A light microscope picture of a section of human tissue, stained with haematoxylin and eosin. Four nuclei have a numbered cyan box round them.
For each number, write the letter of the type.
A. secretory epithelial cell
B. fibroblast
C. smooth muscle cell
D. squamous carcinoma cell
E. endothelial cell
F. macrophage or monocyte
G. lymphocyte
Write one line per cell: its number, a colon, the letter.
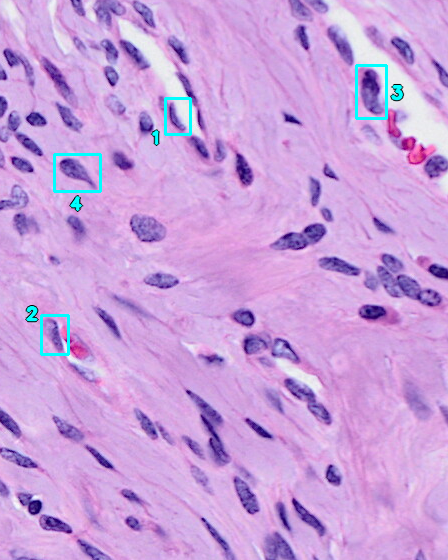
1: E
2: E
3: E
4: B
